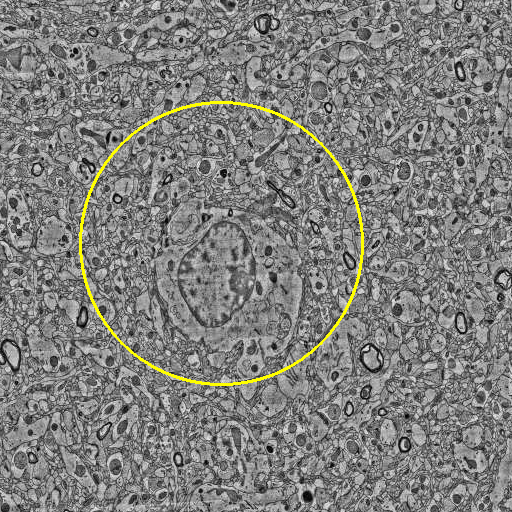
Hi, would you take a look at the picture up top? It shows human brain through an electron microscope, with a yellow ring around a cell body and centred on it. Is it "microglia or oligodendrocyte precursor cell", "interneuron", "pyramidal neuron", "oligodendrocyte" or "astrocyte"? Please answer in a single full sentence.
The best fit for the cell in the middle of the ring is an astrocyte, I reckon.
